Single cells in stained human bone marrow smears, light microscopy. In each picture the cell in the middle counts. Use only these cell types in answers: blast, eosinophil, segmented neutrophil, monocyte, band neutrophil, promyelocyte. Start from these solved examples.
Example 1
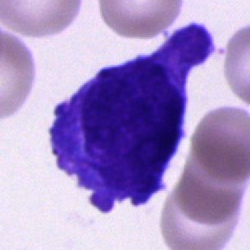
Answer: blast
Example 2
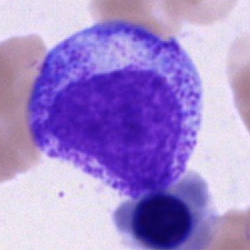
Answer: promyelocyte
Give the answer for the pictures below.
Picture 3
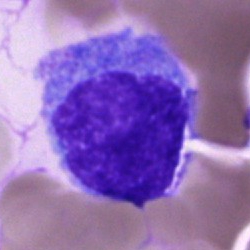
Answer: monocyte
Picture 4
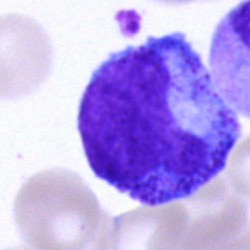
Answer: promyelocyte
